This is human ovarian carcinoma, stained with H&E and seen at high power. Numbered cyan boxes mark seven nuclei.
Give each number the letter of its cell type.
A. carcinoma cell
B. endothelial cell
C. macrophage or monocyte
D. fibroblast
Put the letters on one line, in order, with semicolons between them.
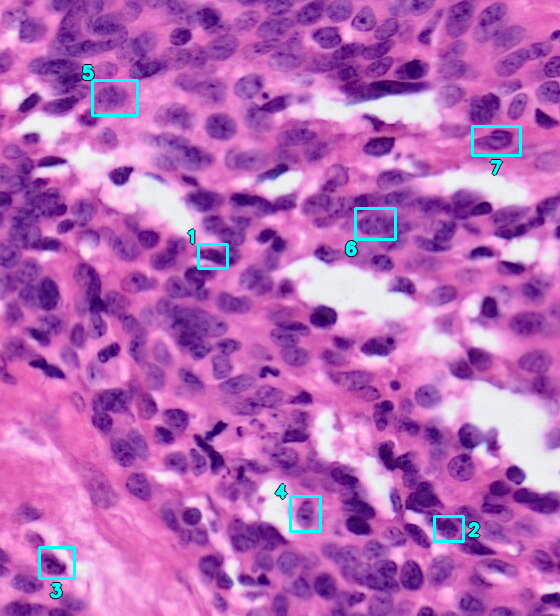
A; A; C; C; A; A; B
